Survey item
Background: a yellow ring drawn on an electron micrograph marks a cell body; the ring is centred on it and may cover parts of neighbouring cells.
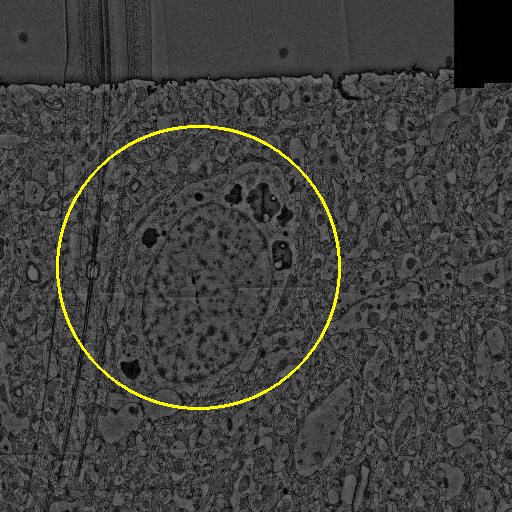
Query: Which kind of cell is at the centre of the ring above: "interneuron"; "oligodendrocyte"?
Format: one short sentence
The cell in the middle of the ring is an interneuron.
